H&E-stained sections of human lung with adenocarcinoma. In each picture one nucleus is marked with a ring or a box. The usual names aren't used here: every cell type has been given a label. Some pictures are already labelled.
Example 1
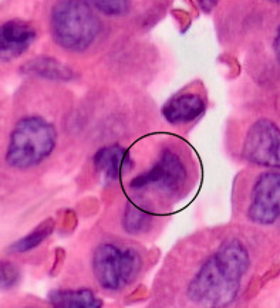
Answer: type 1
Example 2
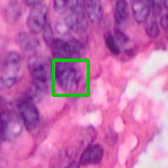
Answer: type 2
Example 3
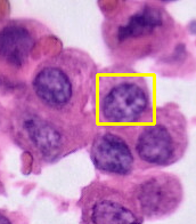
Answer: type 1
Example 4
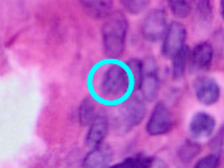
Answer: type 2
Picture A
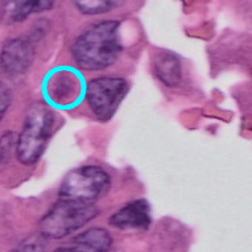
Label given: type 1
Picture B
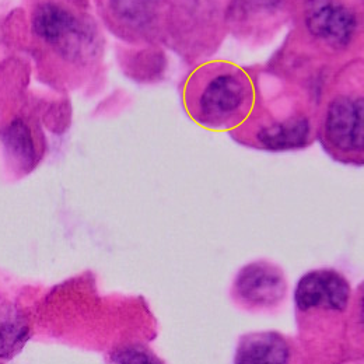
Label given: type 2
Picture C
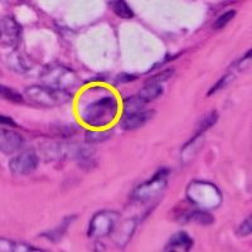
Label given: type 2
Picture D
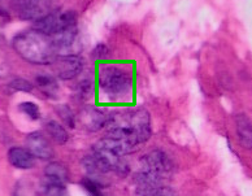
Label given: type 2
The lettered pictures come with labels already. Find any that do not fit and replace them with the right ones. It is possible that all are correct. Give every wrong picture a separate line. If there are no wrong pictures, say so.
B: change type 2 to type 1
